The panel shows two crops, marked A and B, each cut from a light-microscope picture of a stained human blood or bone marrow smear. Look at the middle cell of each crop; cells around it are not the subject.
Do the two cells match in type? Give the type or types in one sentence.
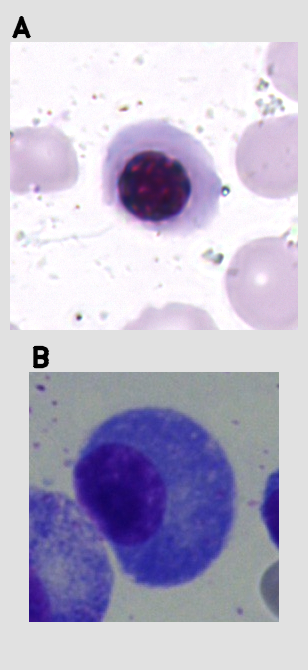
No, crop A shows an erythroblast, whereas in crop B the cell is a plasma cell.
